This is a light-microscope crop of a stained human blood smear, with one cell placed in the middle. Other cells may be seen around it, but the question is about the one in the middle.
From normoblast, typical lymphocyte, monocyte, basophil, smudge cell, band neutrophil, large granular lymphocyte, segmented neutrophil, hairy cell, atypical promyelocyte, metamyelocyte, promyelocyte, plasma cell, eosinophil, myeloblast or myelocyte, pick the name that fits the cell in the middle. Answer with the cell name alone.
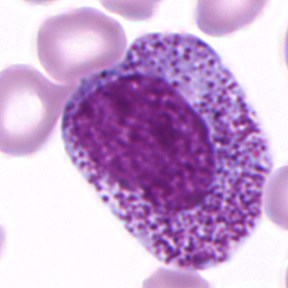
promyelocyte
